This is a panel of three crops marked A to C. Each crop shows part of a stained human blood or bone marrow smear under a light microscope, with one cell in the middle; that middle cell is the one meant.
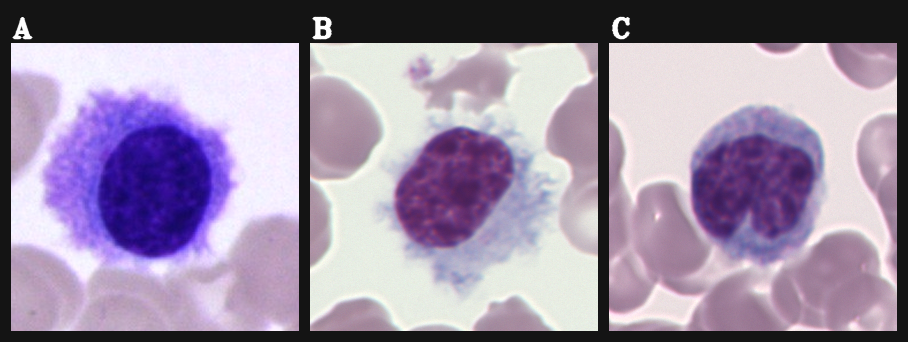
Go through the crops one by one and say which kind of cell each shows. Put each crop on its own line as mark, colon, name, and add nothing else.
A: hairy cell
B: hairy cell
C: monocyte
